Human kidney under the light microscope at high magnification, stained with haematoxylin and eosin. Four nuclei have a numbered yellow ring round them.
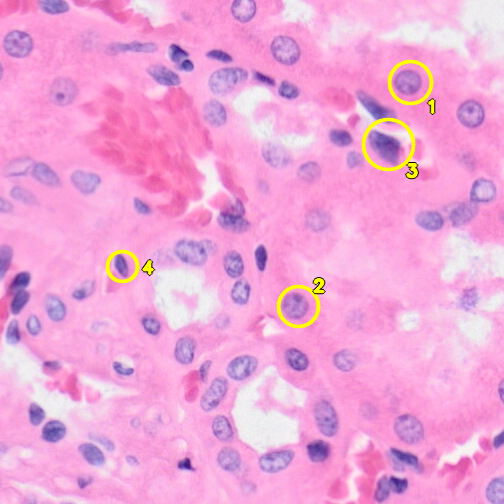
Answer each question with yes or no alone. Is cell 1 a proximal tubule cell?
yes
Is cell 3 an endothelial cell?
yes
